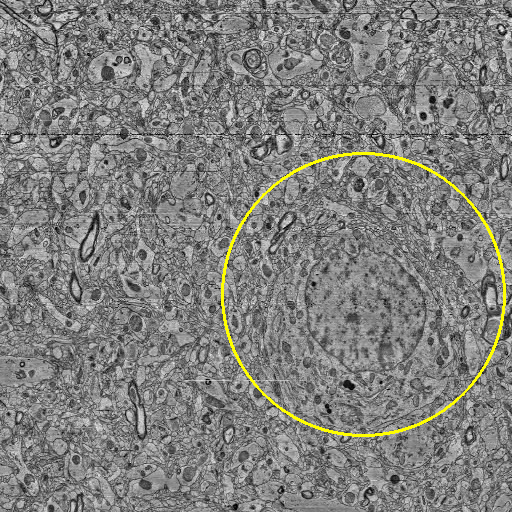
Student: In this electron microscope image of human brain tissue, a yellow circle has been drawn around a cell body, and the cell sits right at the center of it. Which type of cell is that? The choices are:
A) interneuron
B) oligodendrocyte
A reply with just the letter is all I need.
A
